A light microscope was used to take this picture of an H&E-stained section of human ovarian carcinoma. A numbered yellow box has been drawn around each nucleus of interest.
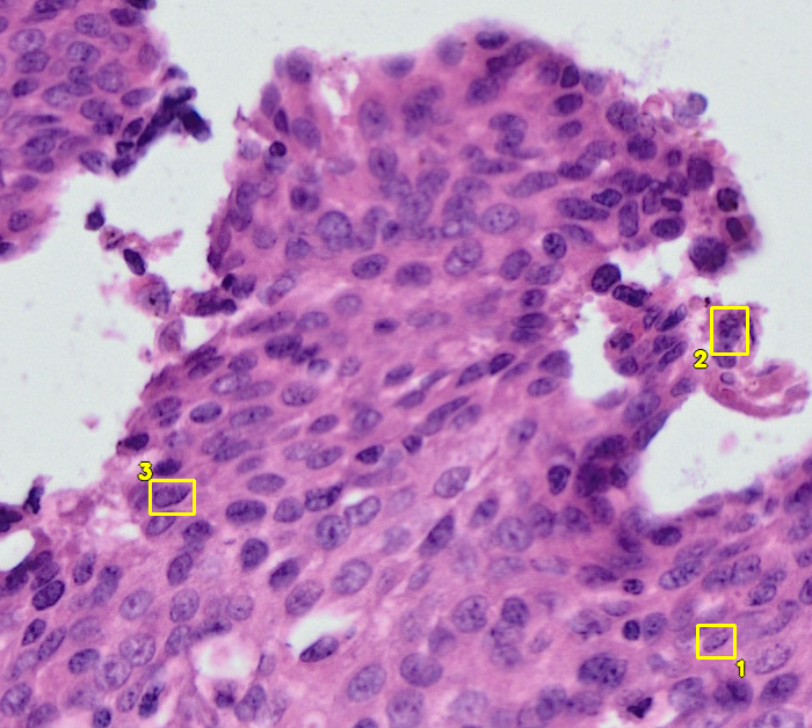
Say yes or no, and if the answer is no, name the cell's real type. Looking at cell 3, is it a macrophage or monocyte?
No, it is a carcinoma cell.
